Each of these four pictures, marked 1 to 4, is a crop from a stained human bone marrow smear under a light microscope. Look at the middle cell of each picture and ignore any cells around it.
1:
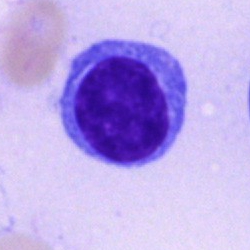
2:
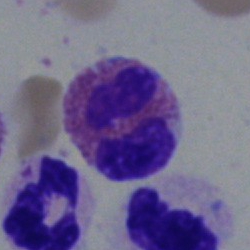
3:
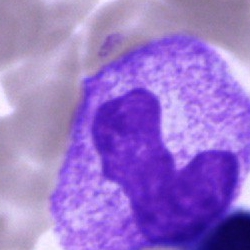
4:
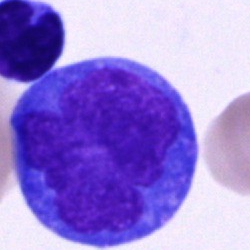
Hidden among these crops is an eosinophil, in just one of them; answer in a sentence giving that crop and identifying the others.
At the centre of crop 2 lies an eosinophil, while crop 1 is a lymphocyte, crop 3 is a band neutrophil and crop 4 is a blast.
